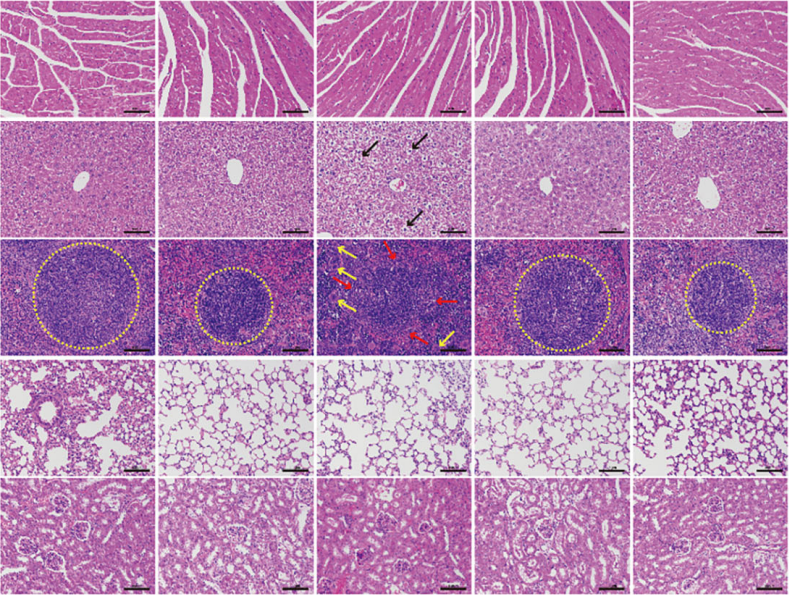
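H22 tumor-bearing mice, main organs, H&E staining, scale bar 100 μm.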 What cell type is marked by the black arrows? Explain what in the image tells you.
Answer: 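The black arrows lie in one liver image of the grid. The liver cells in that image look pale and cleared compared with the other liver images. On this evidence: balloon-like hepatocytes.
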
